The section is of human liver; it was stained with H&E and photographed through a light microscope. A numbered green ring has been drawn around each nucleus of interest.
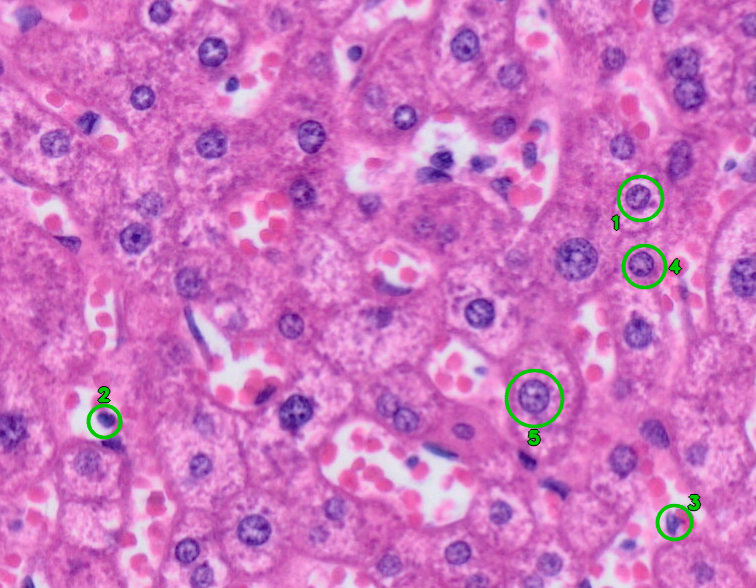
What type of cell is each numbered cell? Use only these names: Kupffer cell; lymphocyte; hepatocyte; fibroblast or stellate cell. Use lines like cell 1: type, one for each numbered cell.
cell 1: hepatocyte
cell 2: lymphocyte
cell 3: lymphocyte
cell 4: hepatocyte
cell 5: hepatocyte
